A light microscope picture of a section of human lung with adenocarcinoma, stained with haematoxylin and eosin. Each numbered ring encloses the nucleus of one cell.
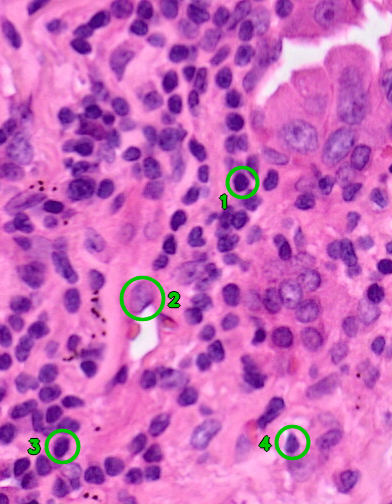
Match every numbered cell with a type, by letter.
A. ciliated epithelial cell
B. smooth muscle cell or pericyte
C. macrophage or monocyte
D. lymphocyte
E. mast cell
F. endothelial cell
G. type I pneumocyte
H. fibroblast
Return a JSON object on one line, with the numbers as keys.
{"1": "D", "2": "F", "3": "D", "4": "D"}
